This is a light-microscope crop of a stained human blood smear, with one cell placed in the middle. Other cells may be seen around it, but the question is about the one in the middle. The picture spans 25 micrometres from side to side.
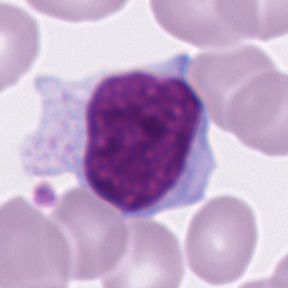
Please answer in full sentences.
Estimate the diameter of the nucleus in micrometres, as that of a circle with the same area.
The diameter of the nucleus comes to about 11 micrometres.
